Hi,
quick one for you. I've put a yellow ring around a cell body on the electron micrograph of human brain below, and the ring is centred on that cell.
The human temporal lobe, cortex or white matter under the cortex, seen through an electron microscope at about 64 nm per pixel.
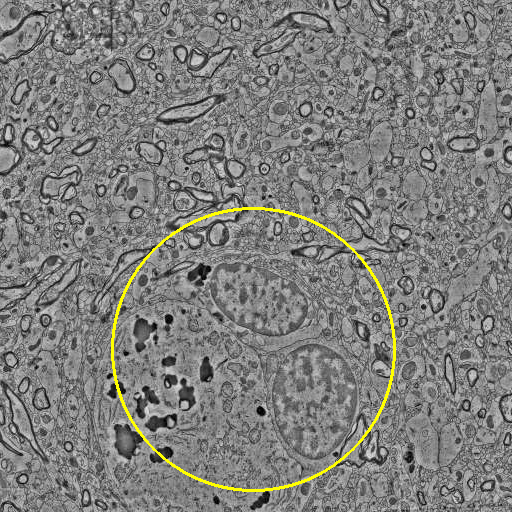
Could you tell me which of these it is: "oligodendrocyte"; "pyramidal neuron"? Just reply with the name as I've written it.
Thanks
oligodendrocyte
